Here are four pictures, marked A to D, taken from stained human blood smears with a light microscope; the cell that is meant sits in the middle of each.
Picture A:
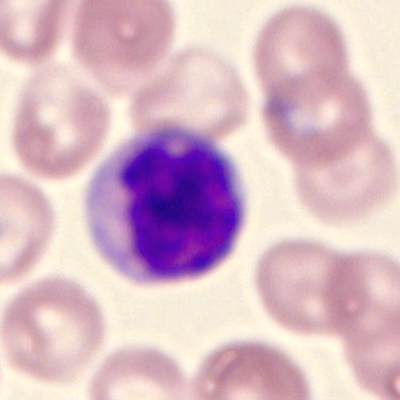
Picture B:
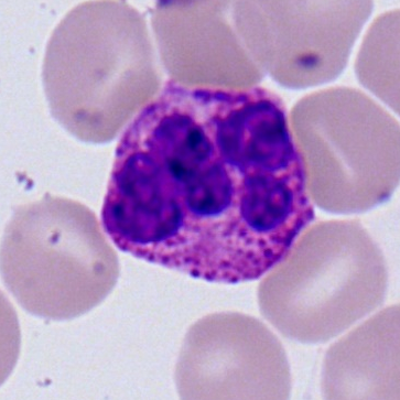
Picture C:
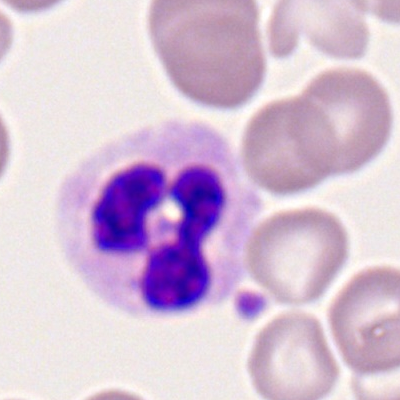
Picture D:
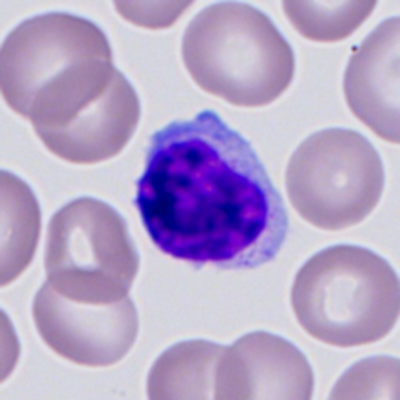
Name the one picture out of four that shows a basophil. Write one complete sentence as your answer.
The picture with the basophil is B.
